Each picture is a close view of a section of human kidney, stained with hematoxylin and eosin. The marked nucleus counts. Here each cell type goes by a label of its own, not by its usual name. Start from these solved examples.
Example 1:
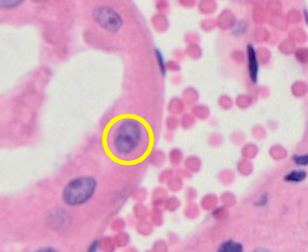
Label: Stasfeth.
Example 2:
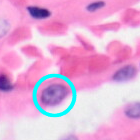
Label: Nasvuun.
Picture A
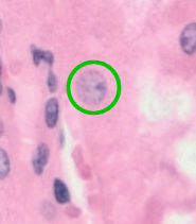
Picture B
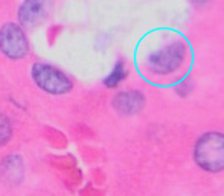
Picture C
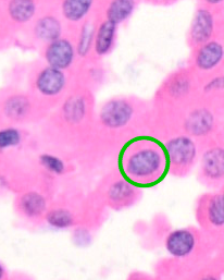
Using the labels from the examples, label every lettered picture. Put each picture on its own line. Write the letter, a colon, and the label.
A: Stasfeth.
B: Nasvuun.
C: Nasvuun.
